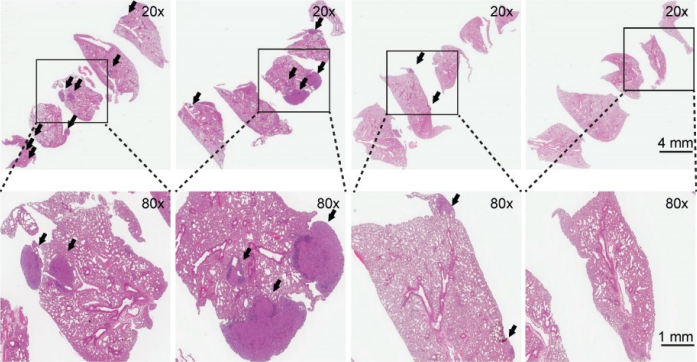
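Sections of lung show pink, finely reticulated alveolar parenchyma with scattered airways and vessels. Several sections contain rounded, solid masses that stain dark purple and are densely cellular, some of them large enough to bulge from the lobe surface. Elsewhere only small dark foci or none are seen within otherwise open alveolar tissue.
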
